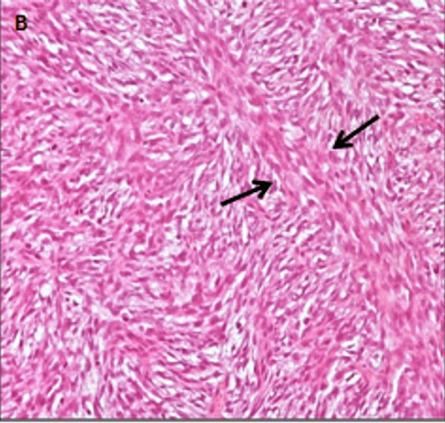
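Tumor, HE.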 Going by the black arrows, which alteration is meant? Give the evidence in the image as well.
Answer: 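The arrows point to a band of tightly packed, parallel spindle cells. On this evidence: fibrosarcomatous elements.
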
